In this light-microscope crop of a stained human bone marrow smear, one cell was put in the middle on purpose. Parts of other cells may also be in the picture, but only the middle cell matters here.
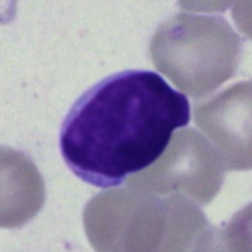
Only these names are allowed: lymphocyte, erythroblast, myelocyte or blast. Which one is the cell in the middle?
lymphocyte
